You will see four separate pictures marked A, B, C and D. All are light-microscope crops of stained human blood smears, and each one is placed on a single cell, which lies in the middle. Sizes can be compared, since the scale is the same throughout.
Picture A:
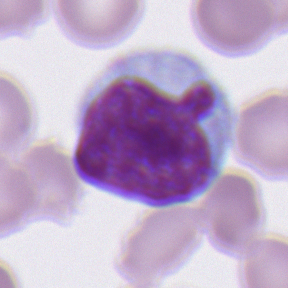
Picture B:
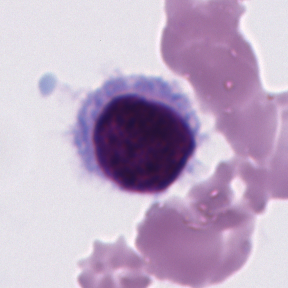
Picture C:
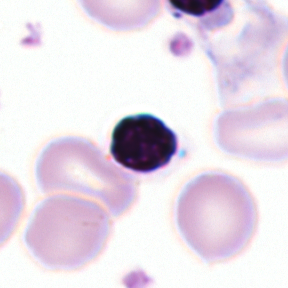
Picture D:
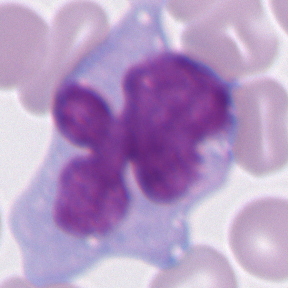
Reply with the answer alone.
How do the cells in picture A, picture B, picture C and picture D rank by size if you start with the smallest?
C, B, A, D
